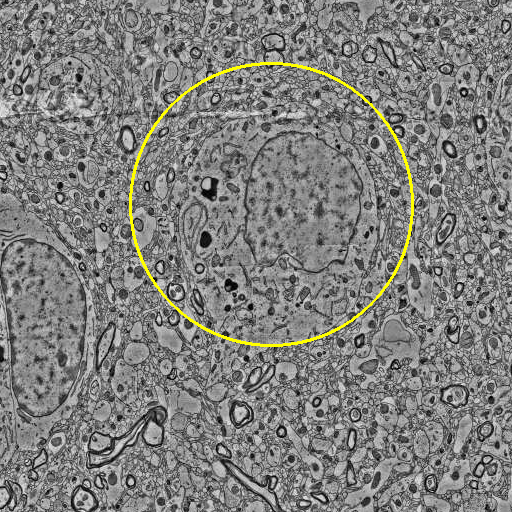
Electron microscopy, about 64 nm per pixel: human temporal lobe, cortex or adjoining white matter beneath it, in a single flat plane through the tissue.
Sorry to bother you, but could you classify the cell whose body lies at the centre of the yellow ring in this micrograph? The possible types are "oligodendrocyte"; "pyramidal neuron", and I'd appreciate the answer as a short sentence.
The ringed cell body is that of a pyramidal neuron.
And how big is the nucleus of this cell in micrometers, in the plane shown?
Approximately 9 micrometres across, in this plane.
